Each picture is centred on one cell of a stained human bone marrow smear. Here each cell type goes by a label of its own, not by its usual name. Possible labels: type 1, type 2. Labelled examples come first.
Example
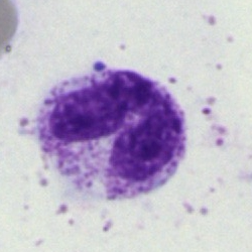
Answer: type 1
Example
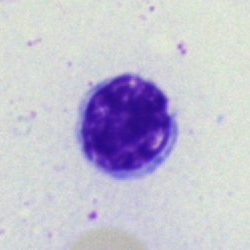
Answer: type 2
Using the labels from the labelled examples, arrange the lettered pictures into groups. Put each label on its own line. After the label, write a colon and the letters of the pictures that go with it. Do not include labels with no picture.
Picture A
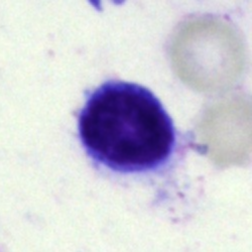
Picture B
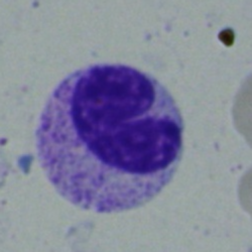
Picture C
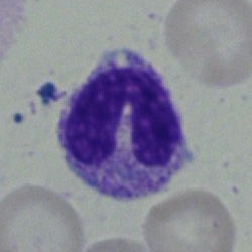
type 1: B, C
type 2: A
